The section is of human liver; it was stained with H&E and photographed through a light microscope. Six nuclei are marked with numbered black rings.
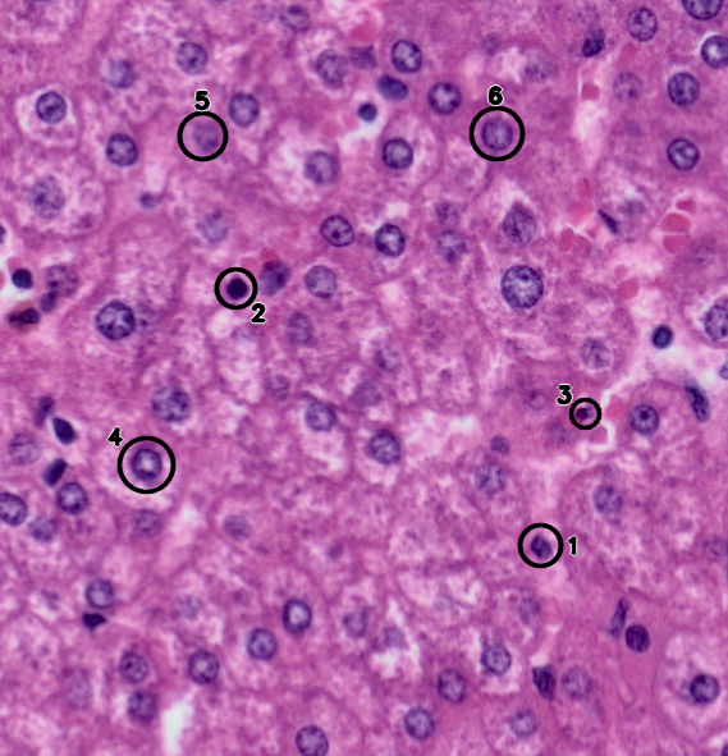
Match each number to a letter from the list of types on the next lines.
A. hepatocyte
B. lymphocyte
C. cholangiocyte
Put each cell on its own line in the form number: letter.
1: B
2: B
3: B
4: A
5: A
6: A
